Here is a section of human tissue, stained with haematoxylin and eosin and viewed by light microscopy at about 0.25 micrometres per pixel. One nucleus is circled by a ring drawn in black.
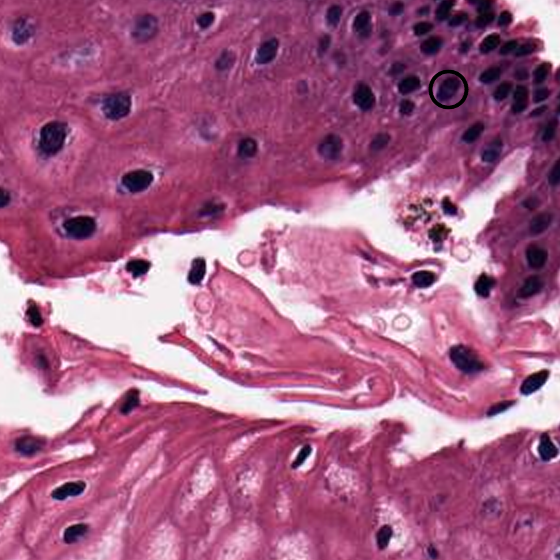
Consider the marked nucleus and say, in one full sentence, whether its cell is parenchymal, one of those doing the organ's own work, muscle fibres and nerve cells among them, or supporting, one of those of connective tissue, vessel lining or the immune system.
On this slide the marked nucleus belongs to a parenchymal cell, namely a squamous epithelial cell.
